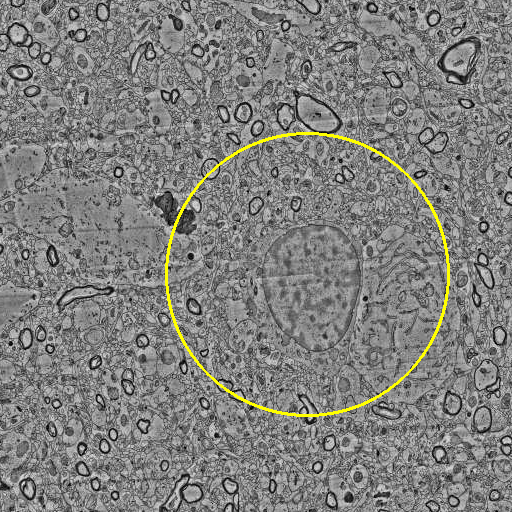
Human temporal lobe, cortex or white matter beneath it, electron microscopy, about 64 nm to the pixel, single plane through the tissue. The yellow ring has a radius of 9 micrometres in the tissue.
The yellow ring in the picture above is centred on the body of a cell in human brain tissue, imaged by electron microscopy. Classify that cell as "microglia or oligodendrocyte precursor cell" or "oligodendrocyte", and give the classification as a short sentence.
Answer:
The cell in the middle of the ring is an oligodendrocyte.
